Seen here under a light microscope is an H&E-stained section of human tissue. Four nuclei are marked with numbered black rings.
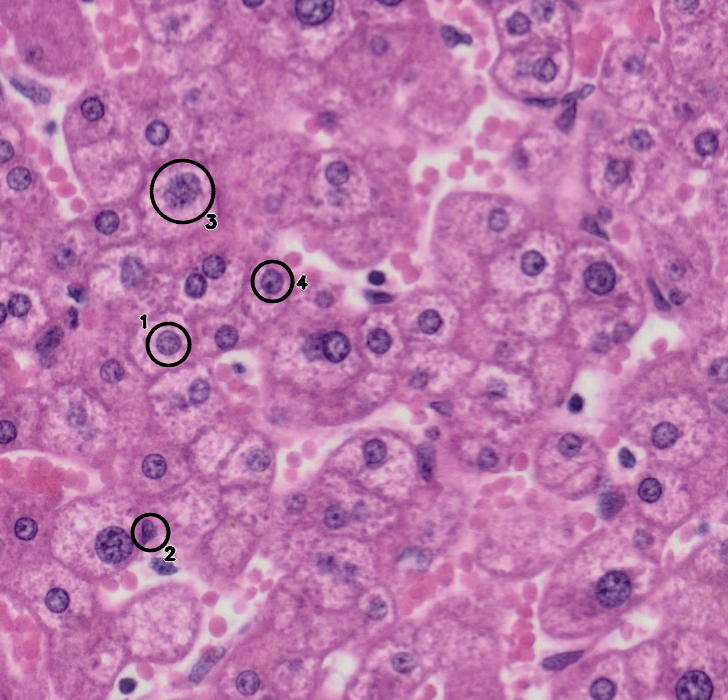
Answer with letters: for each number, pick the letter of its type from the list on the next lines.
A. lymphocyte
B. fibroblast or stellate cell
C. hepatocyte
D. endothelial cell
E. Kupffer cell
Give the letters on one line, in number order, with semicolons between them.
C; B; C; C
